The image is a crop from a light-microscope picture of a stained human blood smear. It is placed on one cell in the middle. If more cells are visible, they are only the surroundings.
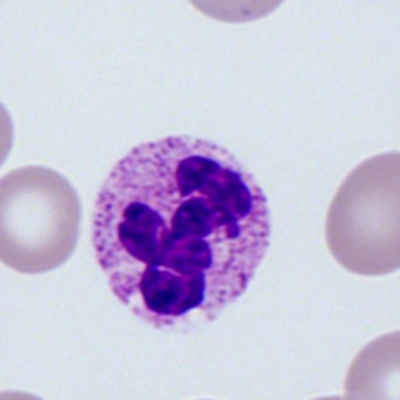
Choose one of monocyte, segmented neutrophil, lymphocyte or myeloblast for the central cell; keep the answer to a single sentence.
The central cell shown in this smear crop is a segmented neutrophil.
